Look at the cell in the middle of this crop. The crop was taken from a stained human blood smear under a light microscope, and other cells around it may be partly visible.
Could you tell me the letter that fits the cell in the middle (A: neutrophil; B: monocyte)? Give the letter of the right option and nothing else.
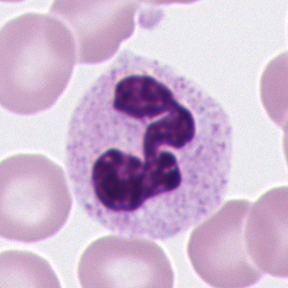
A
